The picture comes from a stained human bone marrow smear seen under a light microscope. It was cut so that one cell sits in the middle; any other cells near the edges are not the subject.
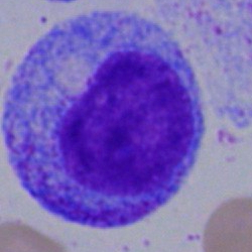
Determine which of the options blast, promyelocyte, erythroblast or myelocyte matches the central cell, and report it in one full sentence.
Where the crop is centred, there is a promyelocyte.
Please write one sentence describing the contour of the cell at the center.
Its periphery is smooth, and no projections arise from it.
